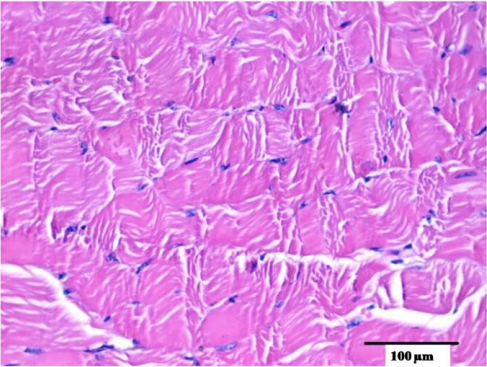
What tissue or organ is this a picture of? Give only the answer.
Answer: skeletal muscle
